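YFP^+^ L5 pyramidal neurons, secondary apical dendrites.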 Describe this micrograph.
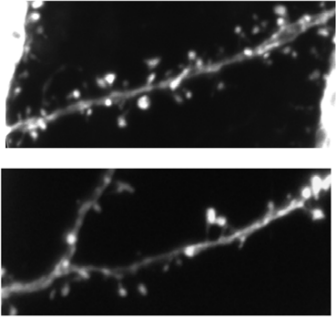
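The shafts are thin and fairly even in width. Along both sides of each shaft stand many short protrusions, the spines; many have a narrow neck and a round, bright head, while others are short stubs. In the upper segment the spines are crowded closely along the shaft, with numerous bright heads. In the lower segment the spines stand farther apart and fewer are seen along the same length, leaving stretches of smooth shaft.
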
